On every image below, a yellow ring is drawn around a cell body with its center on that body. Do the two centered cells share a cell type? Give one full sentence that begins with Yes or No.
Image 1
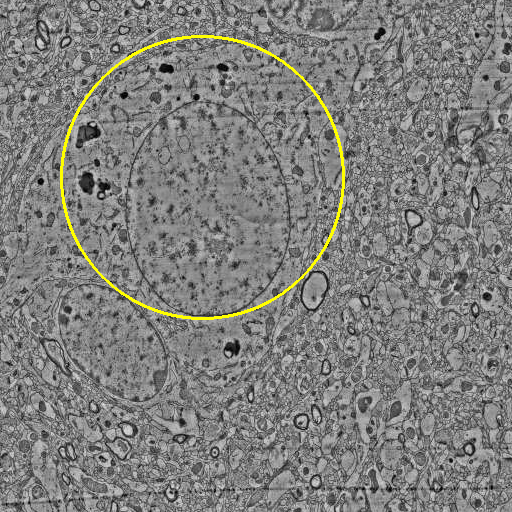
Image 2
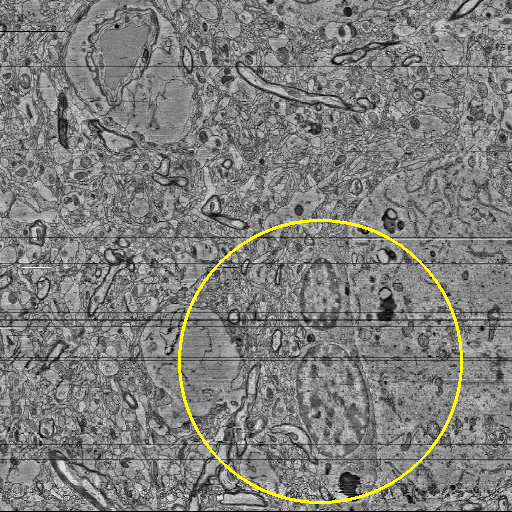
No, the centered cells in the two images are of two separate cell types.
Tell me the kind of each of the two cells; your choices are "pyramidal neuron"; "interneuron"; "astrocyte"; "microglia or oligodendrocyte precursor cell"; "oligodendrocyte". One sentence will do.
The ringed cell is a pyramidal neuron in the first picture and an oligodendrocyte in the second picture.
